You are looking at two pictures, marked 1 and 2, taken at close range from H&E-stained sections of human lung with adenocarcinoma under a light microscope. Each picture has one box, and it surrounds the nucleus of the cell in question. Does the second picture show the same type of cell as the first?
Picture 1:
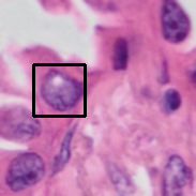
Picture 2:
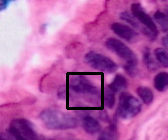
no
